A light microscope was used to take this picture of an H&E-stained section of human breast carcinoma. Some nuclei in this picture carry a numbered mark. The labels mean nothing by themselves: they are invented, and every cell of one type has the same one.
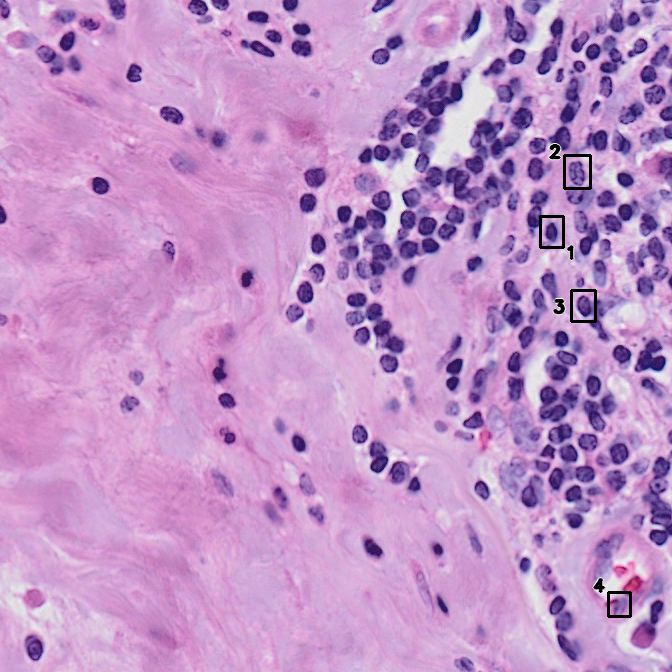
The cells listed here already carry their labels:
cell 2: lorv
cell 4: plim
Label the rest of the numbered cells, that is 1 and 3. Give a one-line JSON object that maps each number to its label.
{"1": "lorv", "3": "lorv"}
